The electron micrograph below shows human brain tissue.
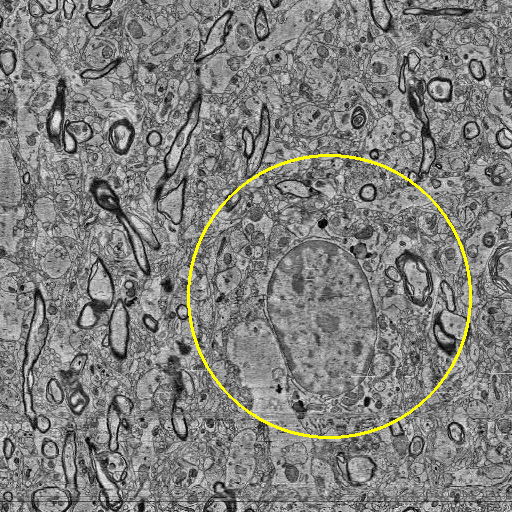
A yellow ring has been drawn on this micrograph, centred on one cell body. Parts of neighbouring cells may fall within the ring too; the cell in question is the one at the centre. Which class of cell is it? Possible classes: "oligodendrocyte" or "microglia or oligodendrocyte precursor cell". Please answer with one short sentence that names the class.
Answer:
In the centre of the ring sits a microglial cell or oligodendrocyte precursor cell.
